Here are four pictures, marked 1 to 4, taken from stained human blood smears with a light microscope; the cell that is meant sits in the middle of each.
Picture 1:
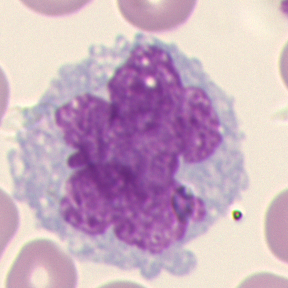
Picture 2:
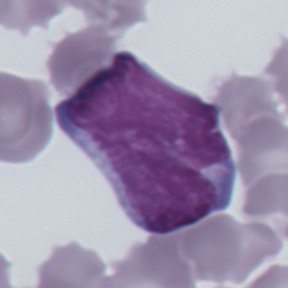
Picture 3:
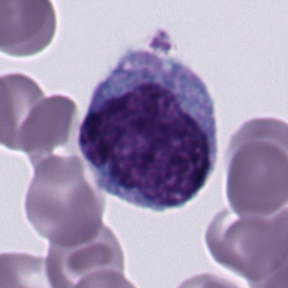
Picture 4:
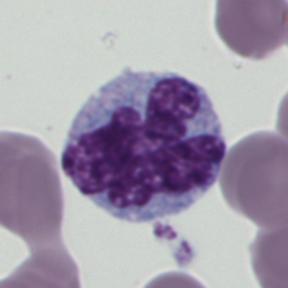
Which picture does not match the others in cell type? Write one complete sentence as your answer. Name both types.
The others show monocytes, but picture 2 shows a myeloblast.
